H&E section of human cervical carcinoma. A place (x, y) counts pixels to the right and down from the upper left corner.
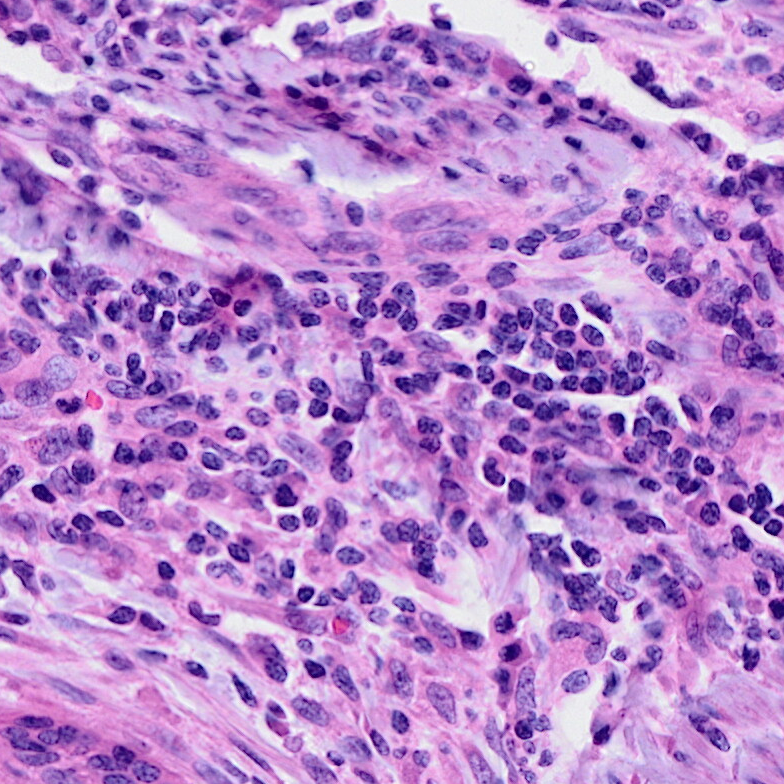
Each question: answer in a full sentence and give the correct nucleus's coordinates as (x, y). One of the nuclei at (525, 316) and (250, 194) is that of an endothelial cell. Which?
The nucleus at (250, 194) is part of an endothelial cell, while the other is not.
